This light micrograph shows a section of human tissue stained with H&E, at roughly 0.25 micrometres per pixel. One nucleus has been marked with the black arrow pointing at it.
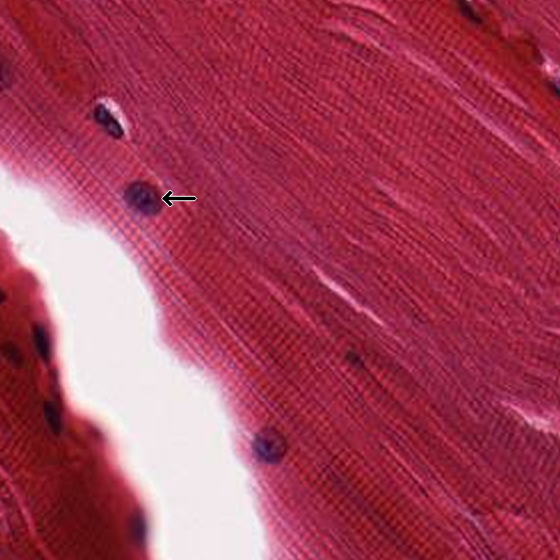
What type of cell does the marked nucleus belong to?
skeletal muscle fibre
